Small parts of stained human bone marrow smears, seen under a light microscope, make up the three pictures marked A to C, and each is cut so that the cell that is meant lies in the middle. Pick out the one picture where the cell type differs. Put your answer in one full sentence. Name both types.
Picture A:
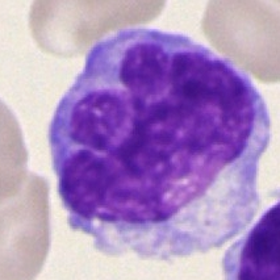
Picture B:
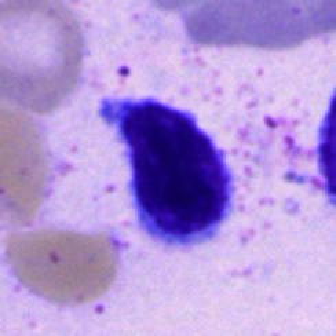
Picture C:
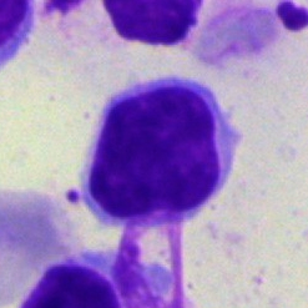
The others show lymphocytes, but picture A shows a monocyte.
